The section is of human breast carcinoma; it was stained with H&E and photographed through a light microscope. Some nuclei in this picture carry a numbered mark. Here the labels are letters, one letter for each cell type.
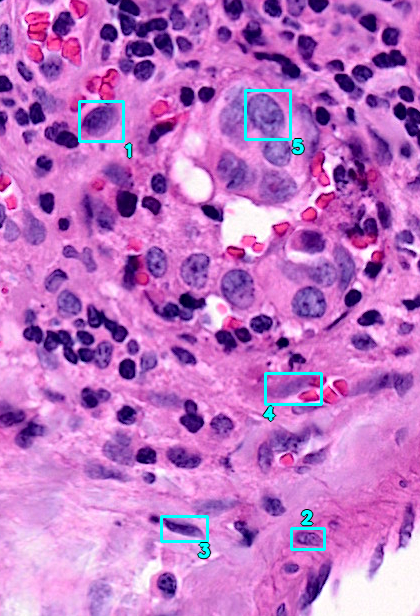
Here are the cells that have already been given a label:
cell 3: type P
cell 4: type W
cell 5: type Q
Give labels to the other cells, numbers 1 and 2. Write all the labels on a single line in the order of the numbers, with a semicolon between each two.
type W; type W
